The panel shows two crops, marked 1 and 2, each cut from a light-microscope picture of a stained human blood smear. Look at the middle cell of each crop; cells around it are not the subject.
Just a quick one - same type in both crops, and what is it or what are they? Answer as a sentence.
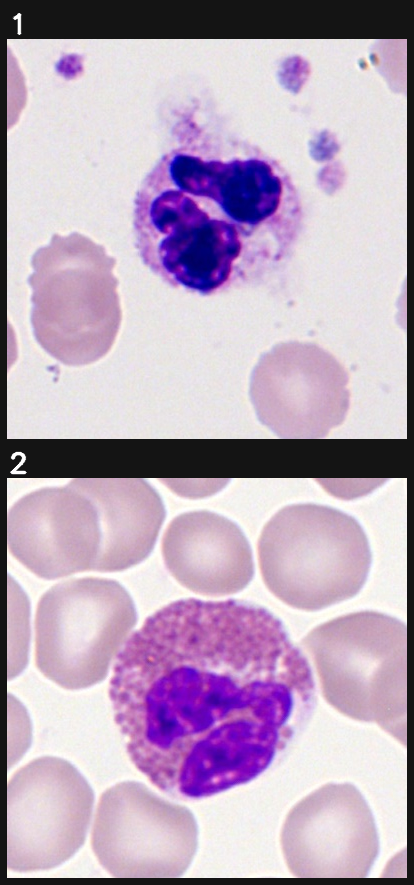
No, a segmented neutrophil is shown in crop 1 and an eosinophil in crop 2.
